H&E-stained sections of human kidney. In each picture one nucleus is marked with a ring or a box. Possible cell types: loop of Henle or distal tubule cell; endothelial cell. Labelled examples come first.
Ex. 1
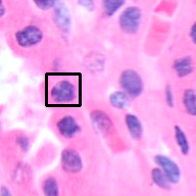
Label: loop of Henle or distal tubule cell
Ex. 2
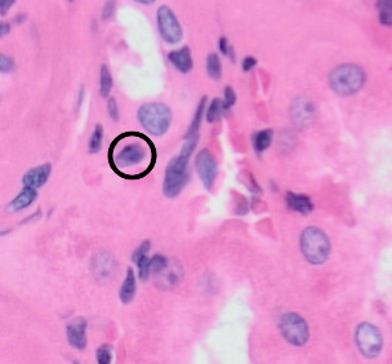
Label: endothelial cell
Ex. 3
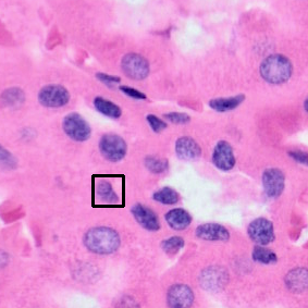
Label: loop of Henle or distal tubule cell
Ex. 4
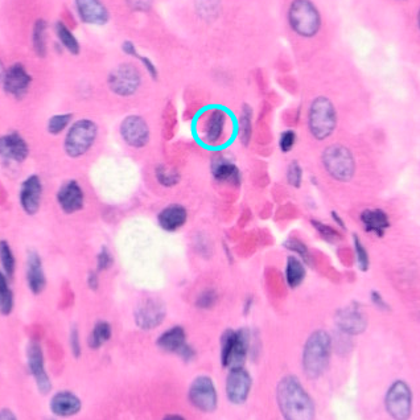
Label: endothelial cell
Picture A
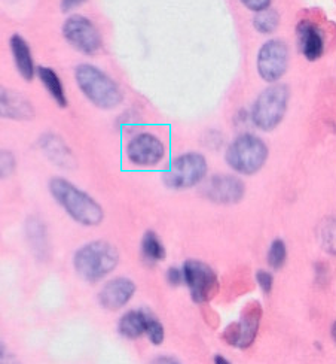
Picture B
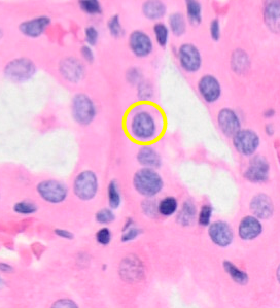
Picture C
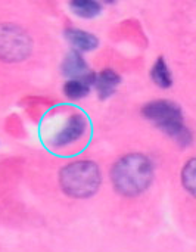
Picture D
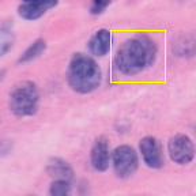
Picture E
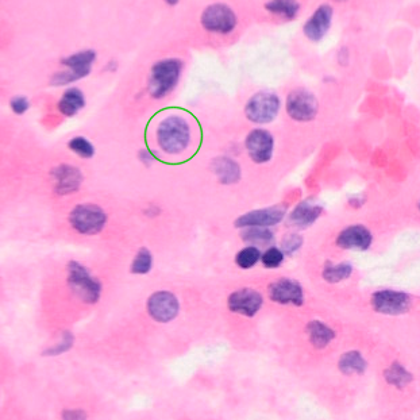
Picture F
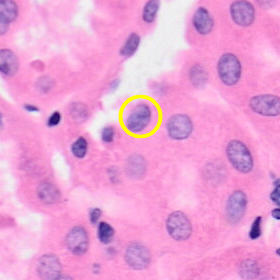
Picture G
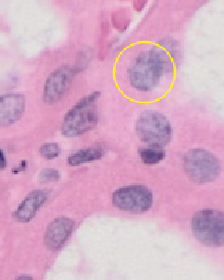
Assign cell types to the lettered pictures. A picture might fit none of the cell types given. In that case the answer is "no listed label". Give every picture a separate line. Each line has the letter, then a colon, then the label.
A: no listed label
B: no listed label
C: endothelial cell
D: no listed label
E: loop of Henle or distal tubule cell
F: loop of Henle or distal tubule cell
G: loop of Henle or distal tubule cell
